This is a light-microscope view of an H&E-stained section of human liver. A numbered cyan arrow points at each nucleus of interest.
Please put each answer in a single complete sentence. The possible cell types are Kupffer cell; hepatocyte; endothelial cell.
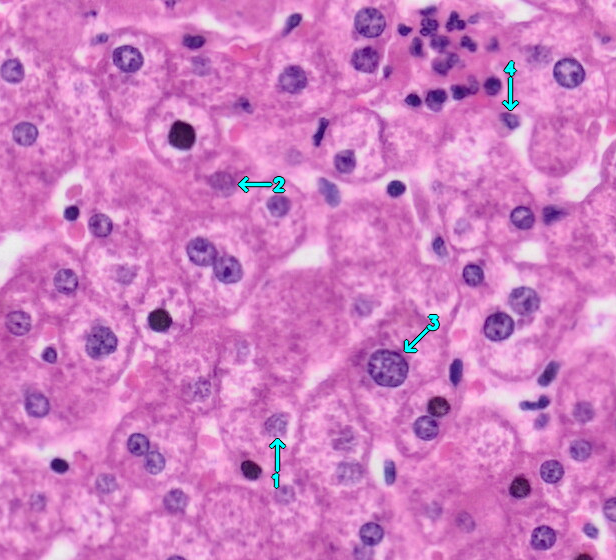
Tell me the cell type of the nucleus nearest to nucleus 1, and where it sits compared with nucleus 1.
Lying below and to the left of nucleus 1, the nearest nucleus is that of a Kupffer cell.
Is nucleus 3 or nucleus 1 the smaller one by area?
It is nucleus 1; nucleus 3 has about 3 times its area.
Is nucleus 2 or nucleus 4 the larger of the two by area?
At about 2.5 times the area of nucleus 4, nucleus 2 is the larger of the two.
